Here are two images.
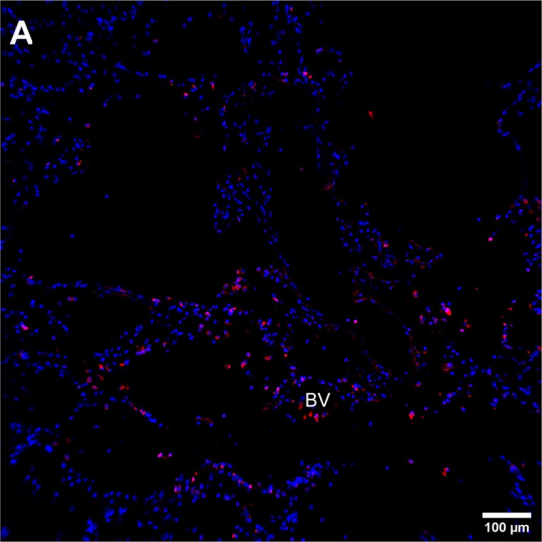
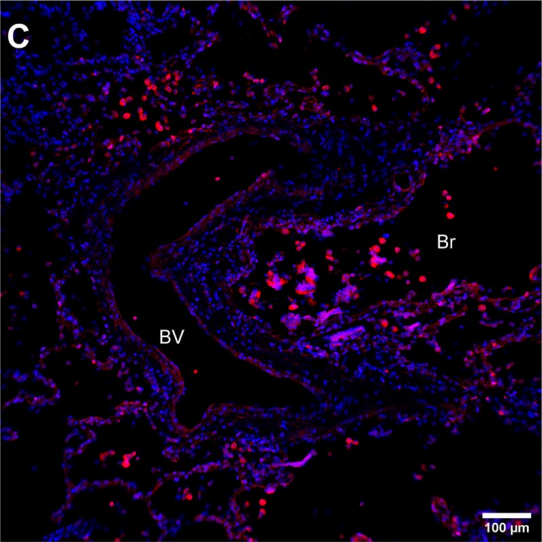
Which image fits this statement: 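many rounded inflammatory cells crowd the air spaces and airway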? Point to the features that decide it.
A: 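The second image. Second image: numerous bright red rounded cells fill the air spaces and airway lumen. First image: only scattered small red cells lie within thin alveolar walls.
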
